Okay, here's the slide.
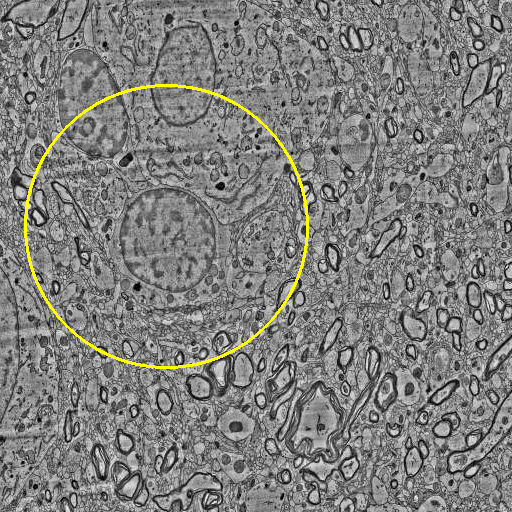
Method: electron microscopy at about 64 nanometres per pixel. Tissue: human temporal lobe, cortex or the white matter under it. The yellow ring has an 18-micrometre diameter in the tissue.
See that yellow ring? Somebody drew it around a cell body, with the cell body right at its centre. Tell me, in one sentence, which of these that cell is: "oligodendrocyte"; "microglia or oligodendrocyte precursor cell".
The cell in the middle of the ring is an oligodendrocyte.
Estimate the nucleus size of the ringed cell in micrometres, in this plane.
Approximately 7 micrometres across, in this plane.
